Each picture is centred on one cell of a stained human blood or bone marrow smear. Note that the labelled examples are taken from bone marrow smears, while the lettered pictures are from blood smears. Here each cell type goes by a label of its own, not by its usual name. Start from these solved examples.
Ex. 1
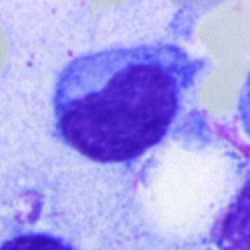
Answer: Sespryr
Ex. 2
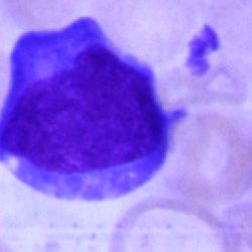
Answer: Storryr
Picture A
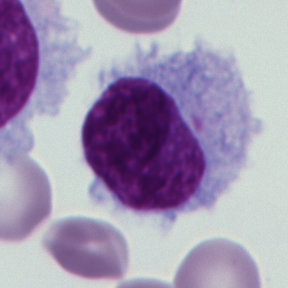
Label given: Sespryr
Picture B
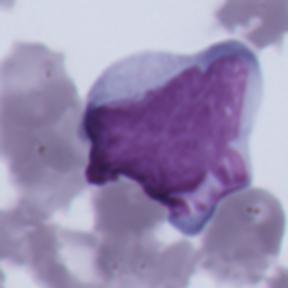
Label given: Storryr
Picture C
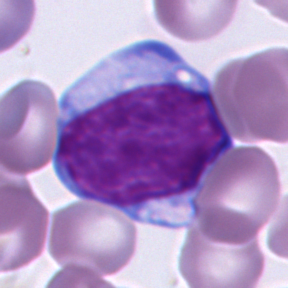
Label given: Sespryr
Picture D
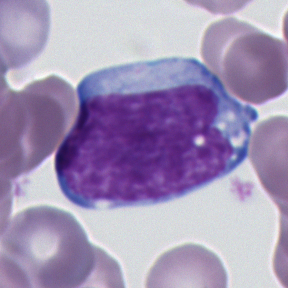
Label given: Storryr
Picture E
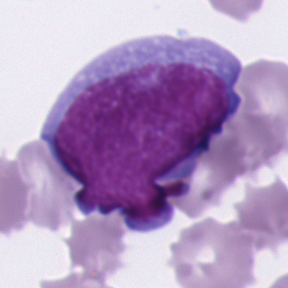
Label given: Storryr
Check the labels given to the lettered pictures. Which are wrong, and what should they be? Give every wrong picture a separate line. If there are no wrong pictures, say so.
C: not Sespryr but Storryr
